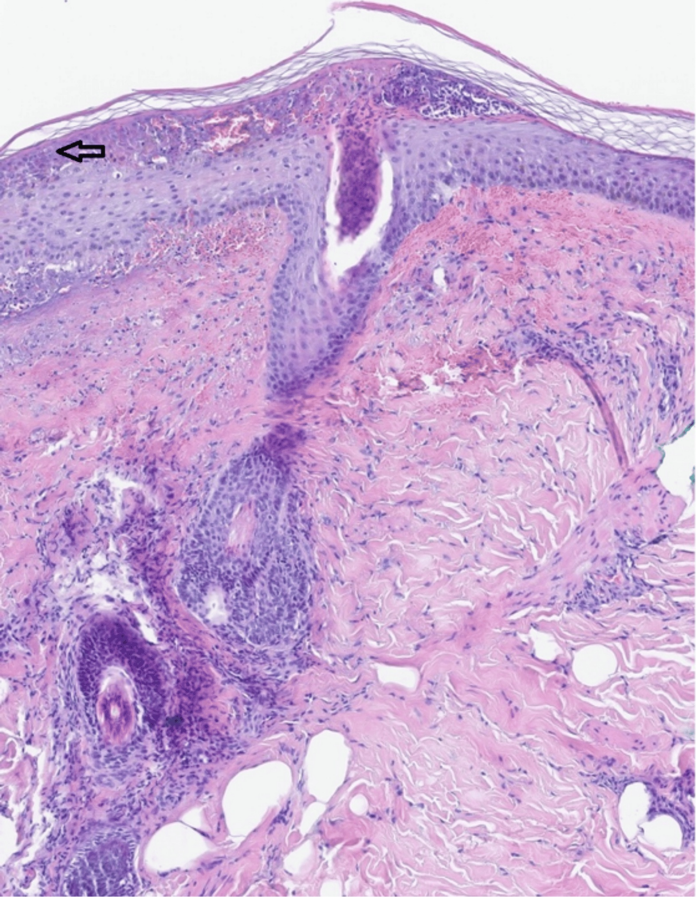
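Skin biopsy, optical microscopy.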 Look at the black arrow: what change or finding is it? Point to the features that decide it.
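Partial epidermal necrosis. The upper layers of the epidermis near the arrow are altered, with loss of the regular keratinocyte pattern. The change involves only part of the epidermal thickness.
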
